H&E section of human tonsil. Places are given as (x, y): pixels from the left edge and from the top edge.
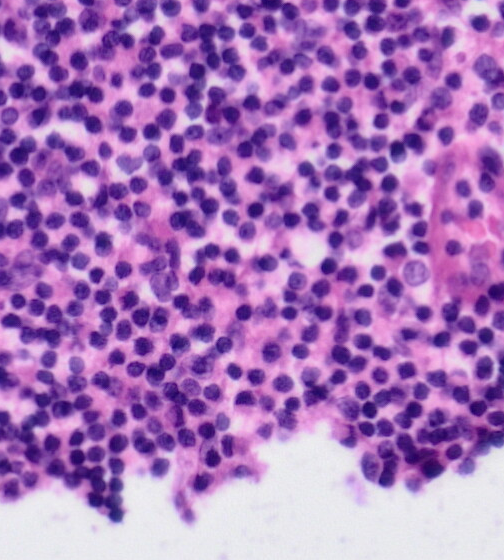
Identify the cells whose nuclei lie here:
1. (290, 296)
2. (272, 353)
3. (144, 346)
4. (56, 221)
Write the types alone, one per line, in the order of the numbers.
small lymphocyte
plasma cell
small lymphocyte
small lymphocyte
